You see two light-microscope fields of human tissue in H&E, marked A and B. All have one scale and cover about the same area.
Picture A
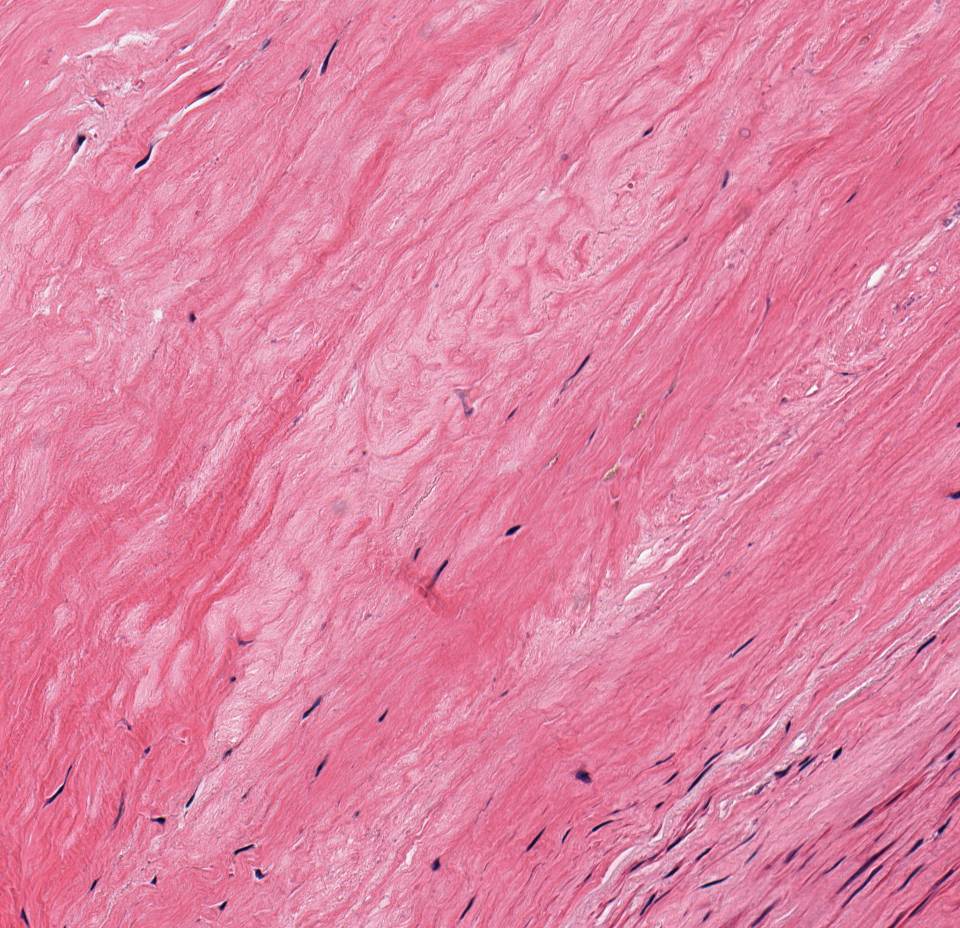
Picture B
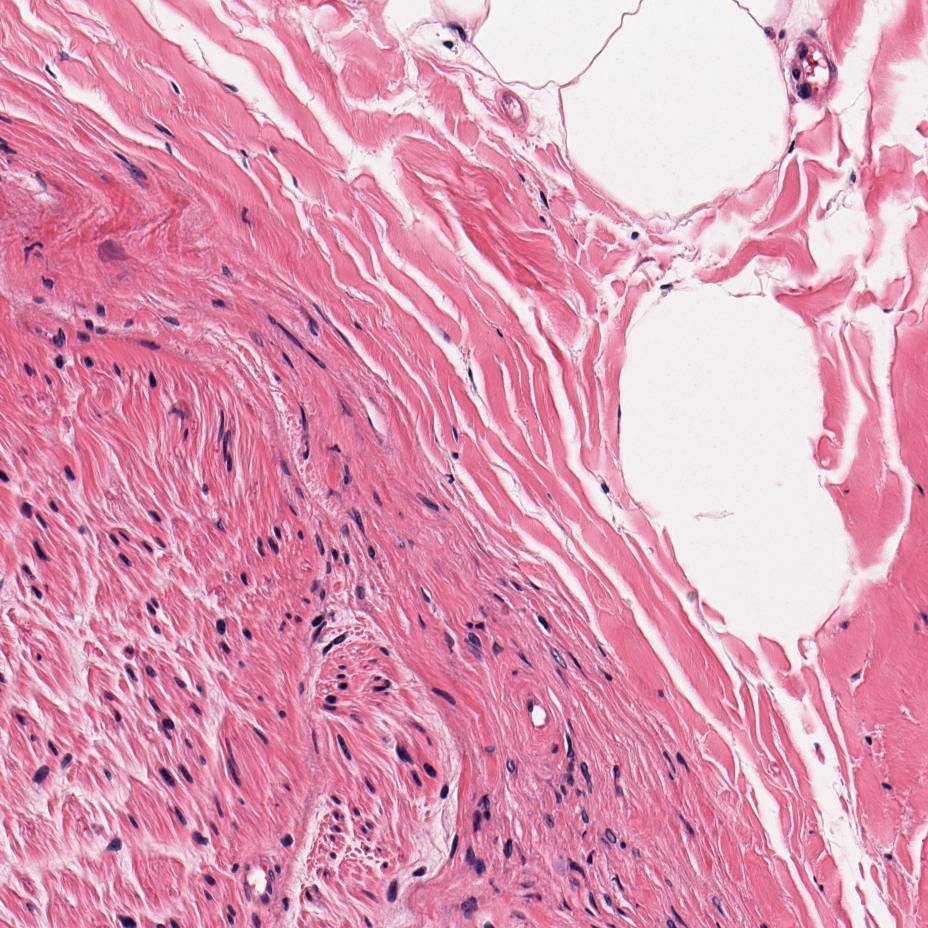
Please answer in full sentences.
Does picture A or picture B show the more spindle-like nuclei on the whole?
The nuclei are more elongated in picture A.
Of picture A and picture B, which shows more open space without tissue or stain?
It is picture B in which white space covers the larger part.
